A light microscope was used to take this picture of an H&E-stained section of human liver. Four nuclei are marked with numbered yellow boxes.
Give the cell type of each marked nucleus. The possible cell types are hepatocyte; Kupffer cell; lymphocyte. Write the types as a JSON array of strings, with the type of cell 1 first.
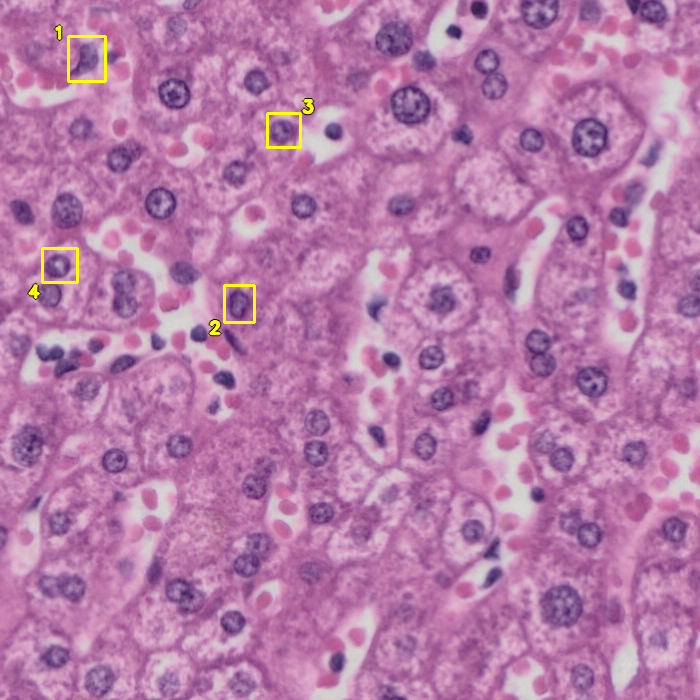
["Kupffer cell", "hepatocyte", "hepatocyte", "hepatocyte"]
